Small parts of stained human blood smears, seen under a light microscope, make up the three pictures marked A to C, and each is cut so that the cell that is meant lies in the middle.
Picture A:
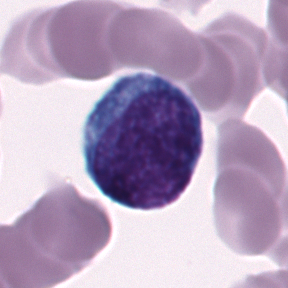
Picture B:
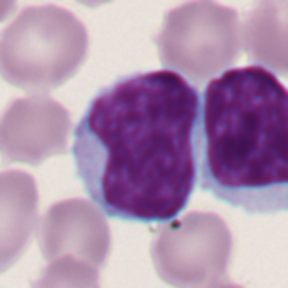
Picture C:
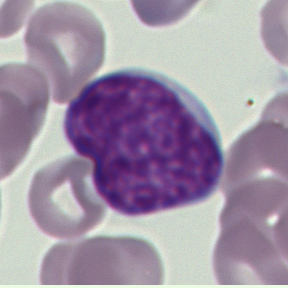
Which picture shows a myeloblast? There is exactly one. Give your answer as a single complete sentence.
The myeloblast is the one in picture C.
